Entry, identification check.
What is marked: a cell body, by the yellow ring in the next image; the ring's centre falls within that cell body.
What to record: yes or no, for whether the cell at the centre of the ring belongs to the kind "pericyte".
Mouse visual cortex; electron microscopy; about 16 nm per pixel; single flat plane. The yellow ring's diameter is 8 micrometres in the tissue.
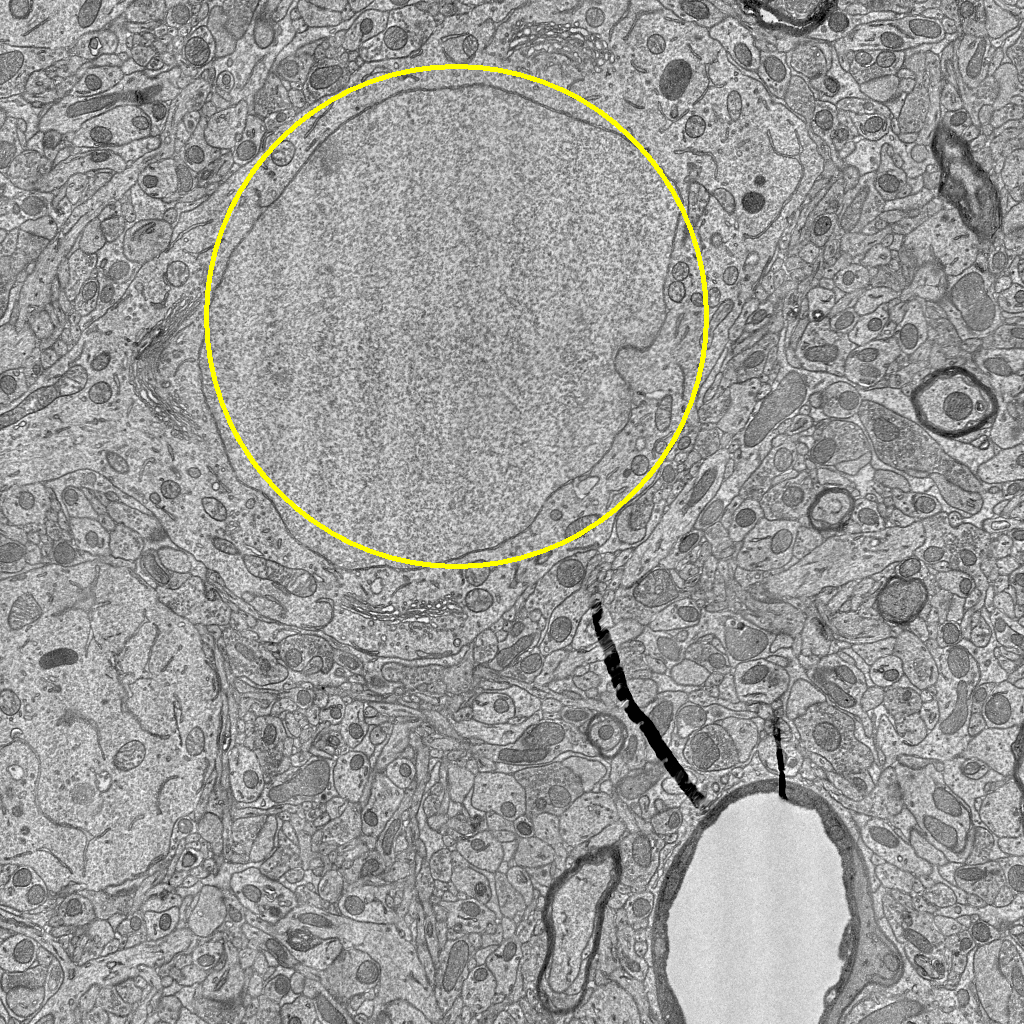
No, it belongs to another kind.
